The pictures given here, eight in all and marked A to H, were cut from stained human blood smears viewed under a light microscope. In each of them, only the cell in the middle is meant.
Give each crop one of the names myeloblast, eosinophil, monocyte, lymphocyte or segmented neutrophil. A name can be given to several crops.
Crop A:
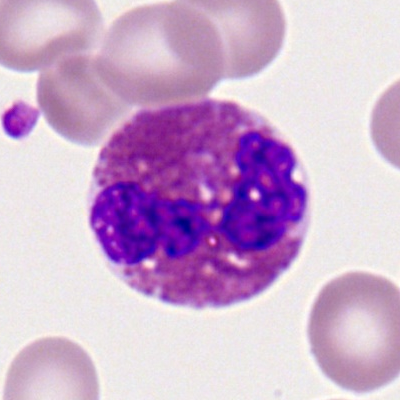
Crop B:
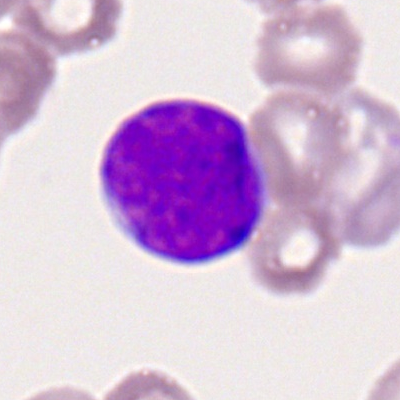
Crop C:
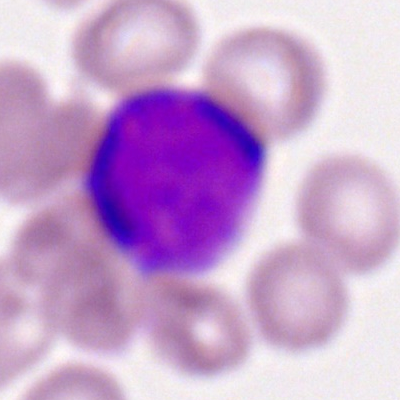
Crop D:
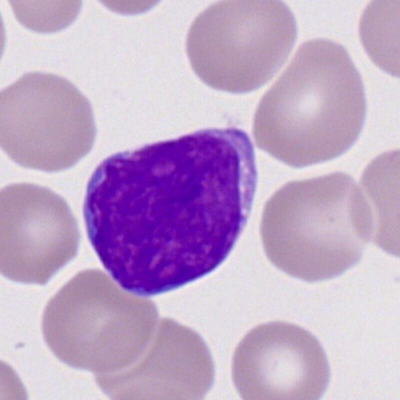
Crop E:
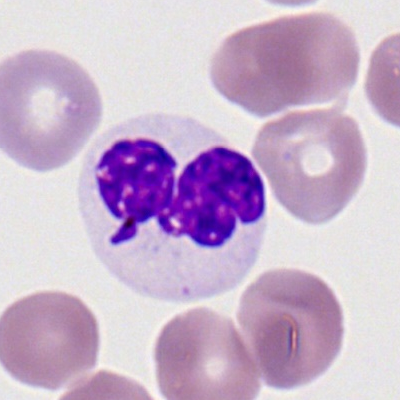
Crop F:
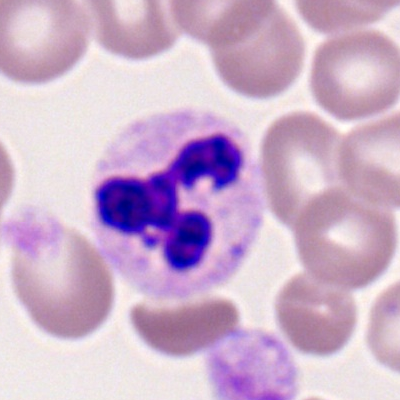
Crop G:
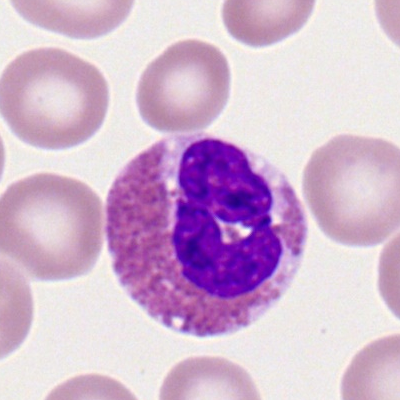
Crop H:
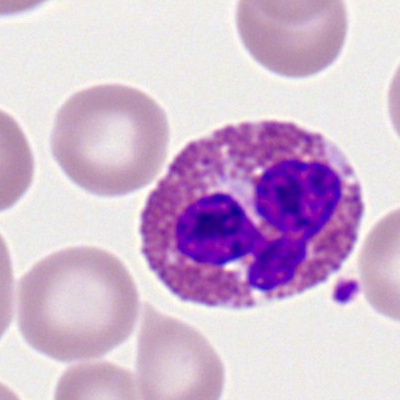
A: eosinophil
B: myeloblast
C: myeloblast
D: myeloblast
E: segmented neutrophil
F: segmented neutrophil
G: eosinophil
H: eosinophil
